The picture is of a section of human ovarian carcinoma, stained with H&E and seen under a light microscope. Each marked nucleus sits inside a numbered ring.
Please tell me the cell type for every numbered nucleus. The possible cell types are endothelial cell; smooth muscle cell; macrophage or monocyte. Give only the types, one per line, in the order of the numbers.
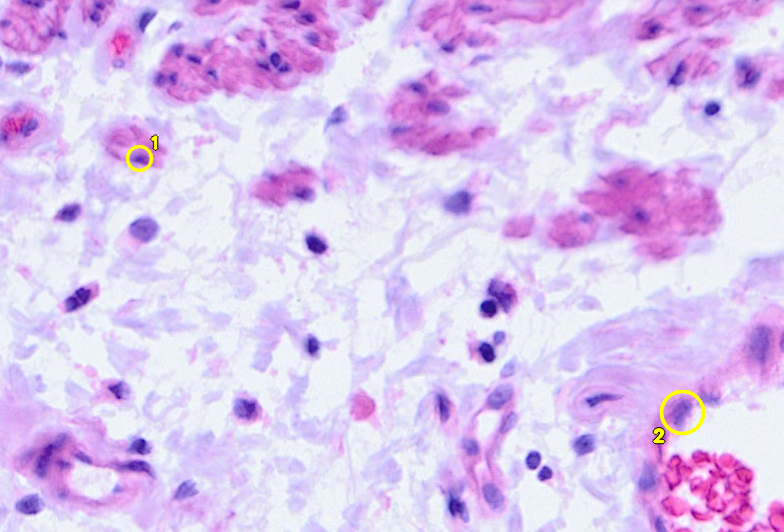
smooth muscle cell
endothelial cell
